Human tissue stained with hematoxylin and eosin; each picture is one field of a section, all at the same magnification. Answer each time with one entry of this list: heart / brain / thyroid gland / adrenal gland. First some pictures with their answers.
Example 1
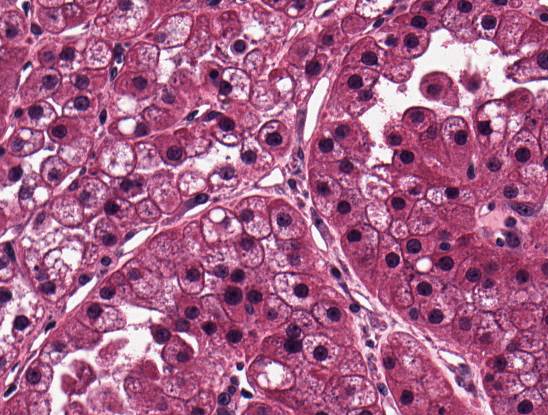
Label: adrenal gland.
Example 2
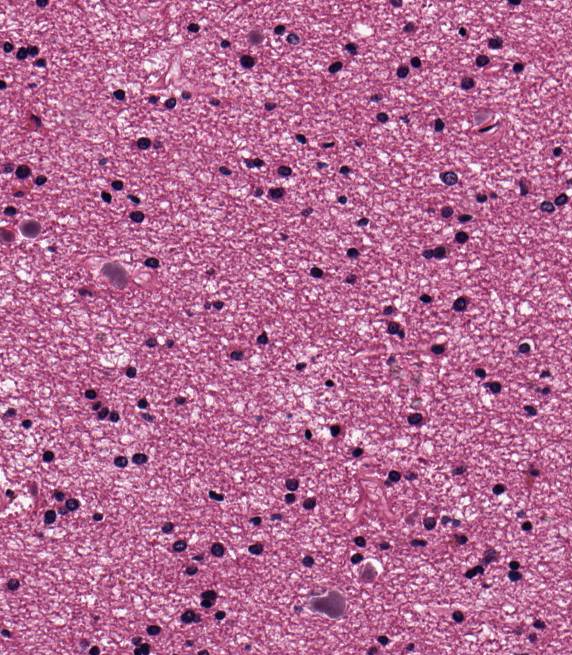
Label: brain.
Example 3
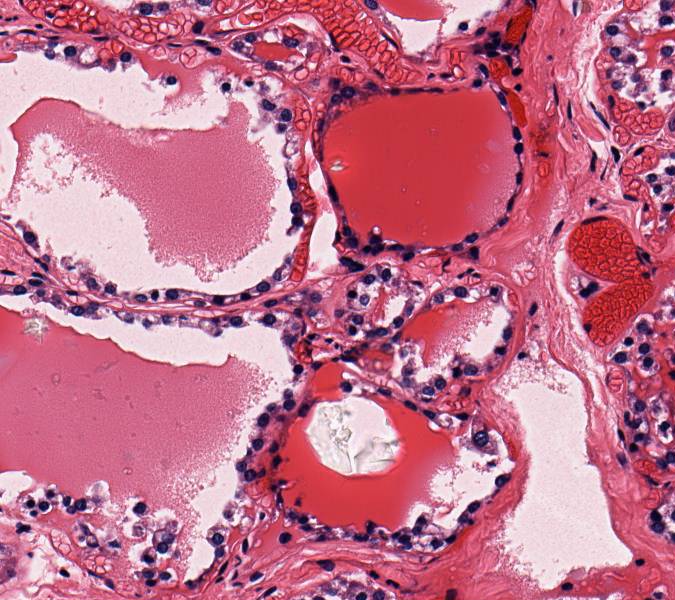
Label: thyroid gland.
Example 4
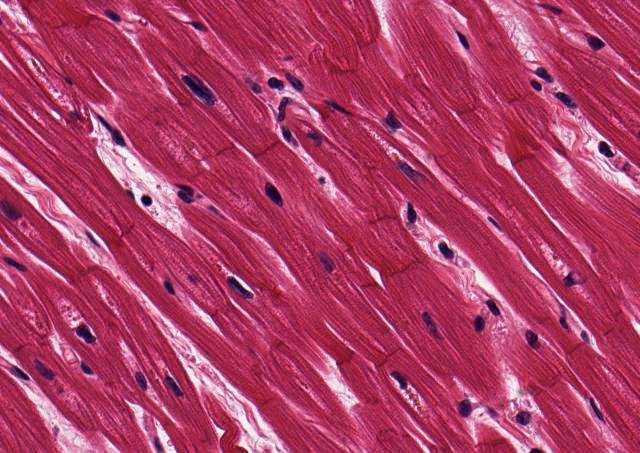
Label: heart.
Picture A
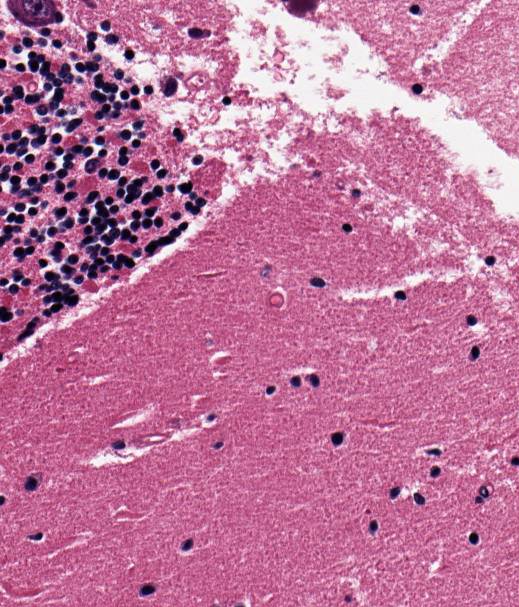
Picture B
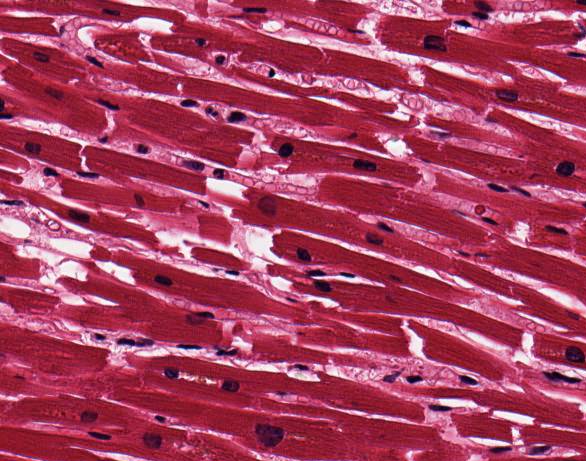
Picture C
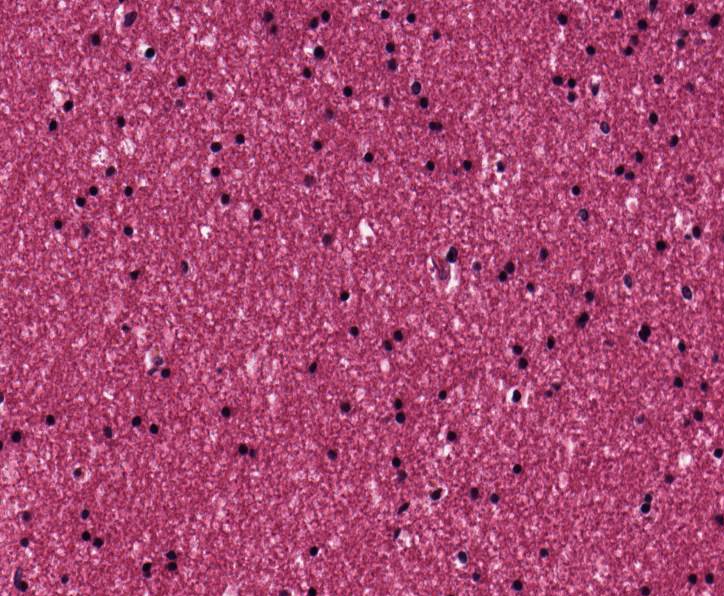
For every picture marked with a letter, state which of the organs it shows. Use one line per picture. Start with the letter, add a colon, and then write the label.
A: brain.
B: heart.
C: brain.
